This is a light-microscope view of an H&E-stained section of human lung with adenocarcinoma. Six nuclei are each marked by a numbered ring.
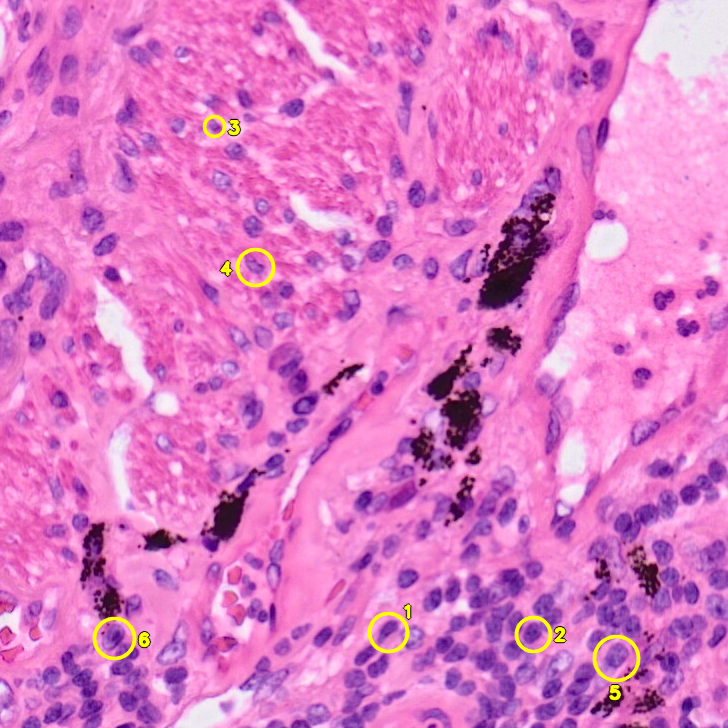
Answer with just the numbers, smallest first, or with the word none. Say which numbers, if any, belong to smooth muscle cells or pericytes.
3, 4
